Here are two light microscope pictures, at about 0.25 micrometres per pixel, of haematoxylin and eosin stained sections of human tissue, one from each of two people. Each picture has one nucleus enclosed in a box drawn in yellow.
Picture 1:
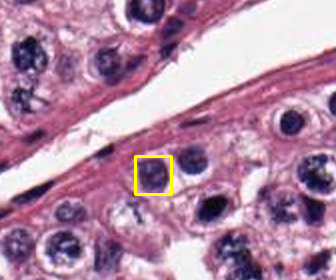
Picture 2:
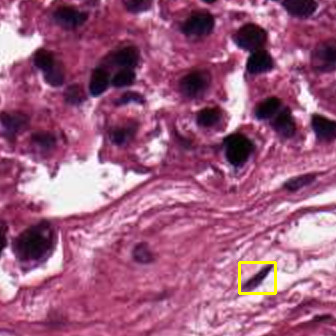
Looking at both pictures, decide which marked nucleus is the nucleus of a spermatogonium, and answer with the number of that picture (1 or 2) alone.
1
